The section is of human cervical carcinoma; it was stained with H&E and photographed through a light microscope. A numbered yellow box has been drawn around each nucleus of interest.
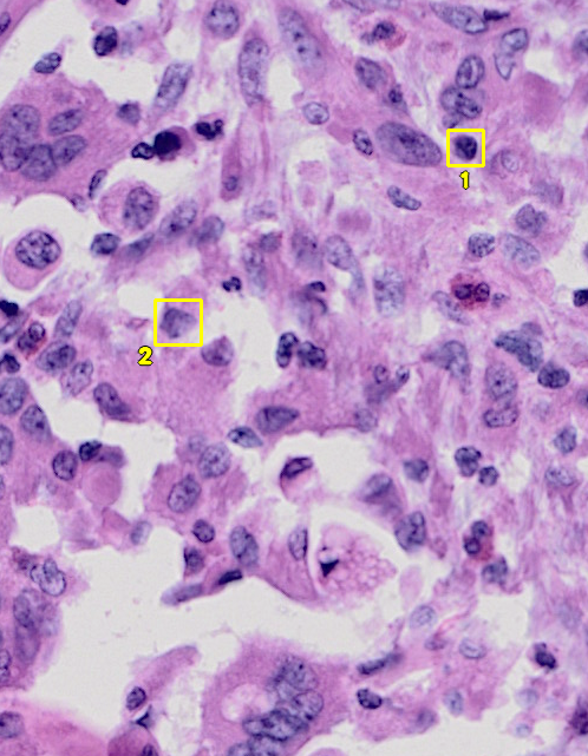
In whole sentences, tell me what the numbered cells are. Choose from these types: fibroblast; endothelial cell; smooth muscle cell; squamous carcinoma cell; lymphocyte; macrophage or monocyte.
Cell 1 is a lymphocyte. Cell 2 is a macrophage or monocyte.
